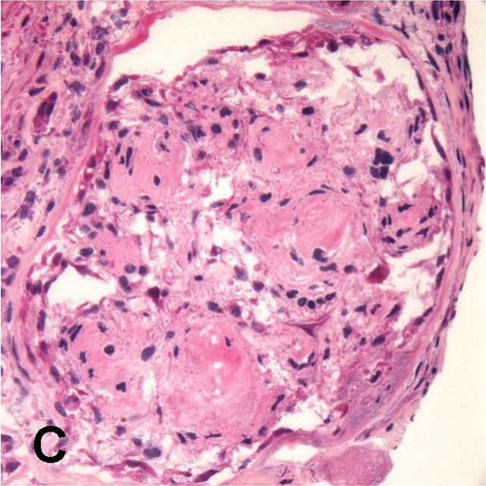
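This is a glomerulus surrounded by a thin capsule and a rim of interstitial tissue with elongated nuclei. The glomerular tuft is expanded by several rounded, pale pink, largely acellular nodules of homogeneous matrix. Scattered dark nuclei sit mainly at the edges of and between these nodules, and the open capillary spaces are few and small. The space between the tuft and the capsule appears pale and partly empty.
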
